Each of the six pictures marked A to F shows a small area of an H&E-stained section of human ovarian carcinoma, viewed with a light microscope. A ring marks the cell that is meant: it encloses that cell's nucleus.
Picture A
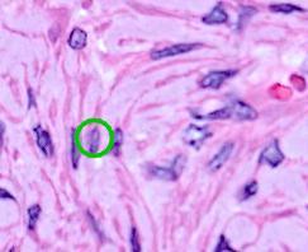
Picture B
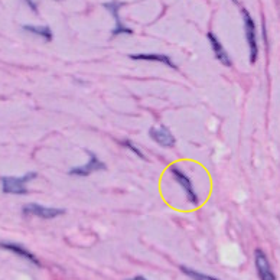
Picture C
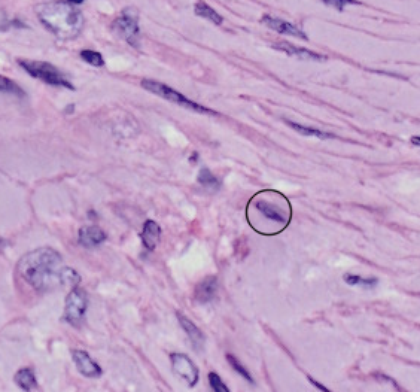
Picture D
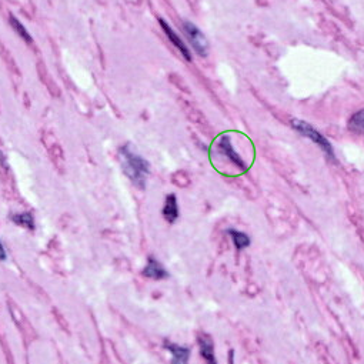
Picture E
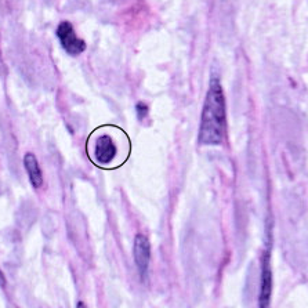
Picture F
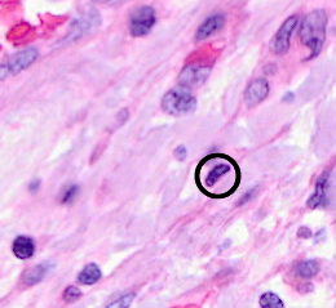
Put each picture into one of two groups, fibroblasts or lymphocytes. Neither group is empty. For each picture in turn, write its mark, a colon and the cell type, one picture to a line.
A: fibroblast
B: fibroblast
C: fibroblast
D: fibroblast
E: lymphocyte
F: lymphocyte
